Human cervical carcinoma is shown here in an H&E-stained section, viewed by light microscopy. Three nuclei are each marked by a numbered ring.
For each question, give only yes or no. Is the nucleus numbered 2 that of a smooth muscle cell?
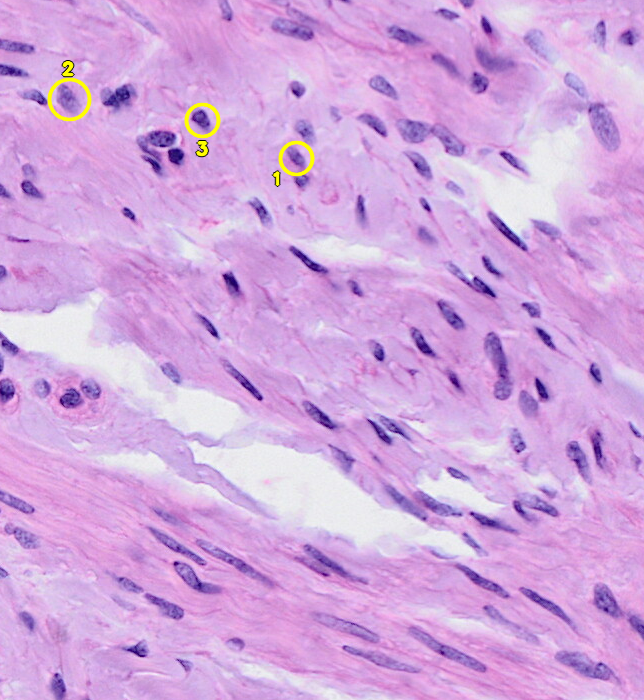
no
